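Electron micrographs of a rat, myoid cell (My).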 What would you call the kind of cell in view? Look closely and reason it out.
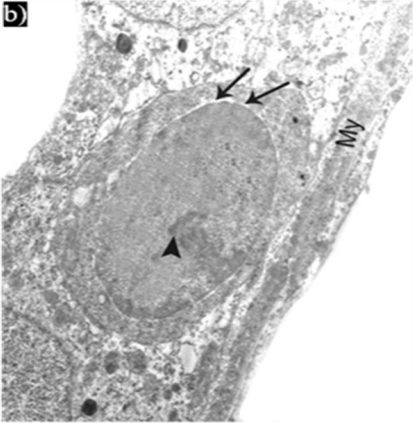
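An oval nucleus lies close to flattened cells at the edge of the tubule. The cell sits beside a thin elongated peritubular cell.
Conclusion: Type A spermatogonium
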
